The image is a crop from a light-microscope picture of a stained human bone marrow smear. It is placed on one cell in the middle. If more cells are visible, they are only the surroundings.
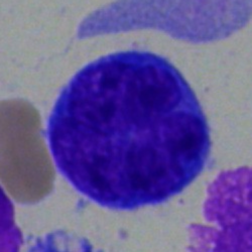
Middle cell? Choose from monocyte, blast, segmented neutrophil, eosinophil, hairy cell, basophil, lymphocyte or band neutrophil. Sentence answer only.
Framed in the middle of the crop is a blast.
